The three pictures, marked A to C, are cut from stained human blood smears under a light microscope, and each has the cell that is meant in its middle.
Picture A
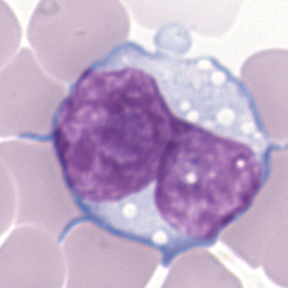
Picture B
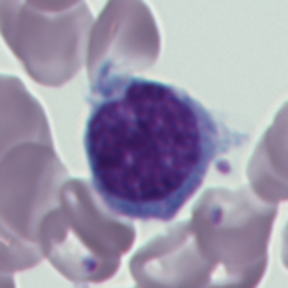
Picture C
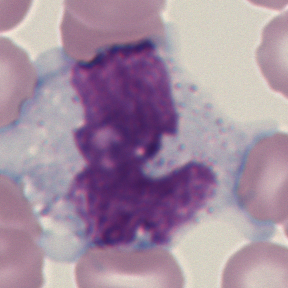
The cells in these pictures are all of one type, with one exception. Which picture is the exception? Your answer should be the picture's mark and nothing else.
A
